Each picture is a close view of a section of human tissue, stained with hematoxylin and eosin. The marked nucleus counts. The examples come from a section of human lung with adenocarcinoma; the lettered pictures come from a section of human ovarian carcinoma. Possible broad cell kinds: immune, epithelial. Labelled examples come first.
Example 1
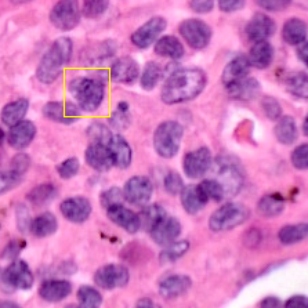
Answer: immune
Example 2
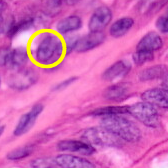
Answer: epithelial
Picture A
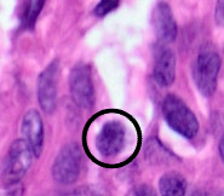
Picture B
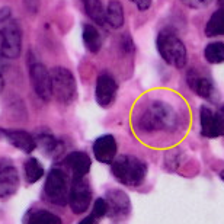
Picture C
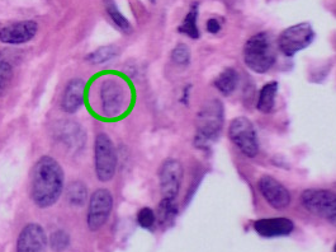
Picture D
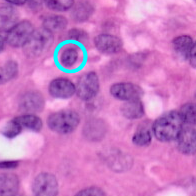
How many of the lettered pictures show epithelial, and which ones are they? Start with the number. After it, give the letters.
1, namely C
